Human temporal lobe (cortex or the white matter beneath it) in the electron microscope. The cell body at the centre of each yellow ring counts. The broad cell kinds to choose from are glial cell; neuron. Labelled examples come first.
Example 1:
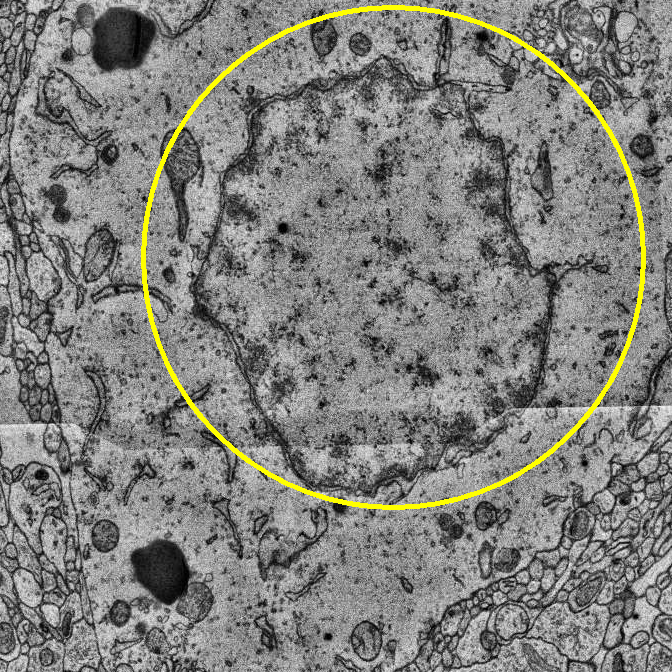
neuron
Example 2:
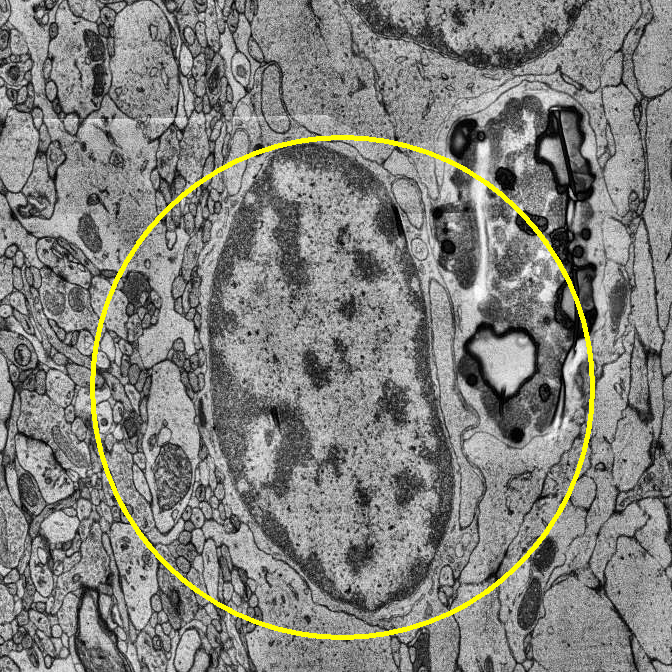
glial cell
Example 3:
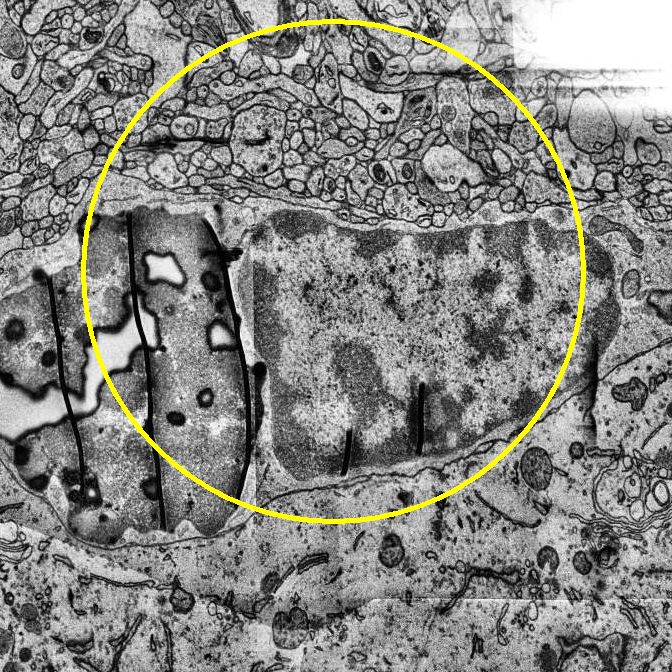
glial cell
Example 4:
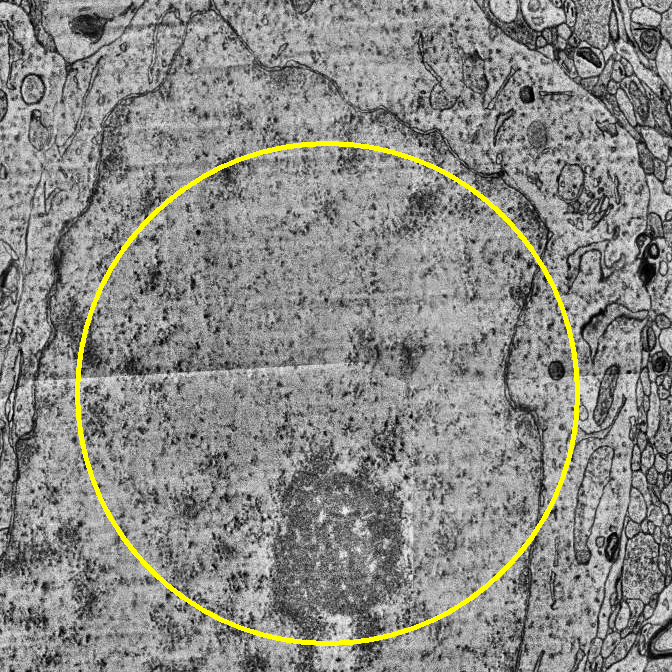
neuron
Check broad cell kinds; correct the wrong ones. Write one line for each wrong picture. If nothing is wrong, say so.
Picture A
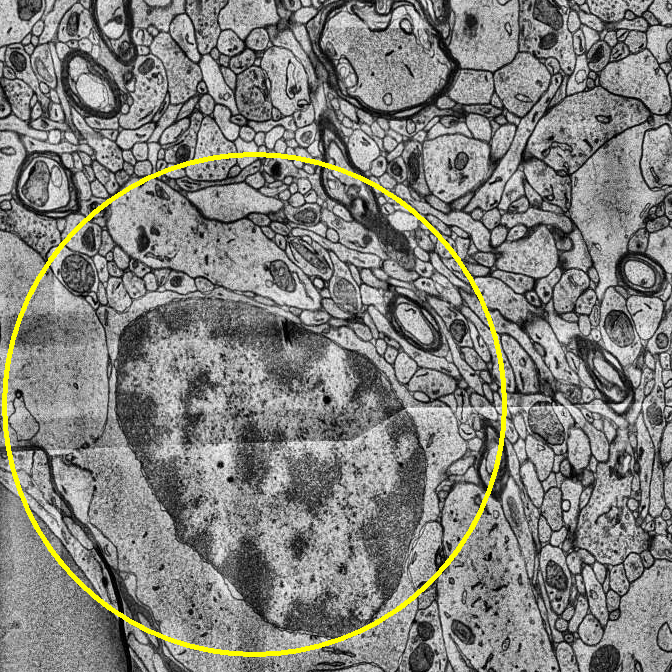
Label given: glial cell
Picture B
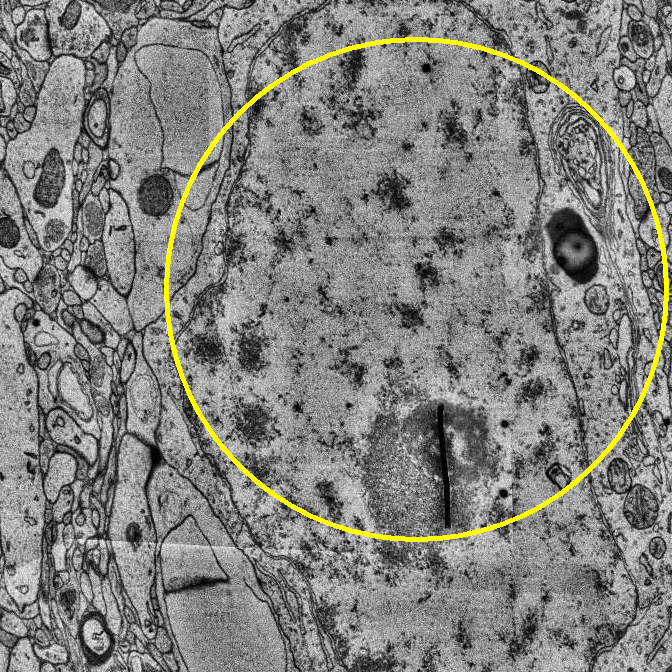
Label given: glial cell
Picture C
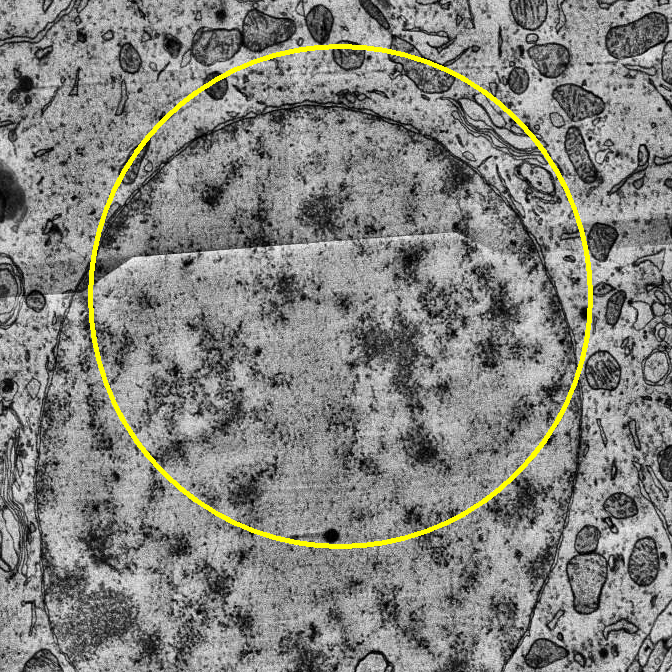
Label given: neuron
B: not glial cell but neuron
